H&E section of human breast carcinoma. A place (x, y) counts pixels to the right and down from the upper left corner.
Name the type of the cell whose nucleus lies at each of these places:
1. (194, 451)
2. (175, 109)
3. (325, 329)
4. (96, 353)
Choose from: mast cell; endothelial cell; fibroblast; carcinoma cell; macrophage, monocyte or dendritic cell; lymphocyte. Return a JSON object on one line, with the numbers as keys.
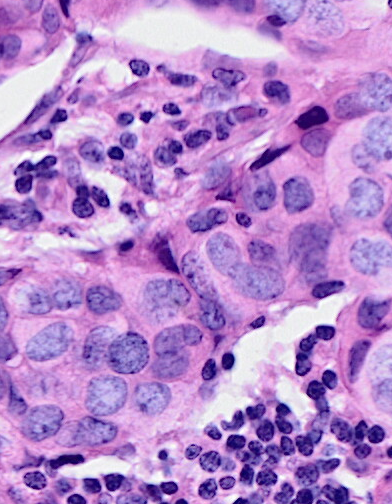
{"1": "lymphocyte", "2": "lymphocyte", "3": "lymphocyte", "4": "carcinoma cell"}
